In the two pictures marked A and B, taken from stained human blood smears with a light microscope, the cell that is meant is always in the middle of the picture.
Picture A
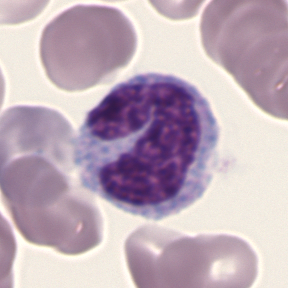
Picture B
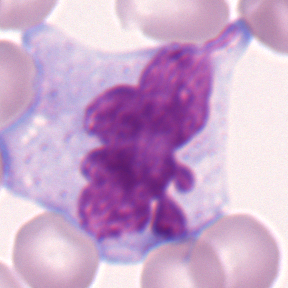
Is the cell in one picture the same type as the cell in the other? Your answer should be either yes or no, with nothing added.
yes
